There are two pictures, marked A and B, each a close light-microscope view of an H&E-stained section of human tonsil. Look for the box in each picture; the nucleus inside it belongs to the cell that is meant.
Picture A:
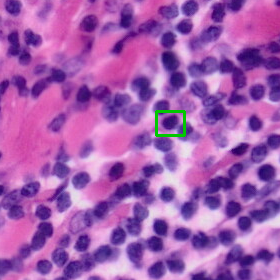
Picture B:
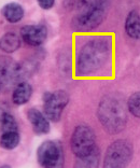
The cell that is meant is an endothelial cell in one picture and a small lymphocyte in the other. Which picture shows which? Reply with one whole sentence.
Picture A is of a small lymphocyte, and picture B is of an endothelial cell.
